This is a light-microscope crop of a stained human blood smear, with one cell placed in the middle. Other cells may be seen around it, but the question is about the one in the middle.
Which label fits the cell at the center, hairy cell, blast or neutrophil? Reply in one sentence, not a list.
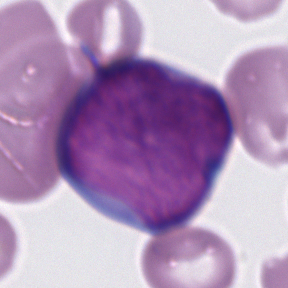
The cell found in the middle of this crop is a blast.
